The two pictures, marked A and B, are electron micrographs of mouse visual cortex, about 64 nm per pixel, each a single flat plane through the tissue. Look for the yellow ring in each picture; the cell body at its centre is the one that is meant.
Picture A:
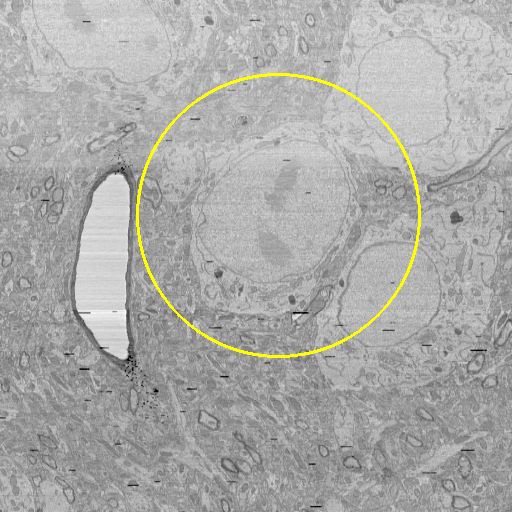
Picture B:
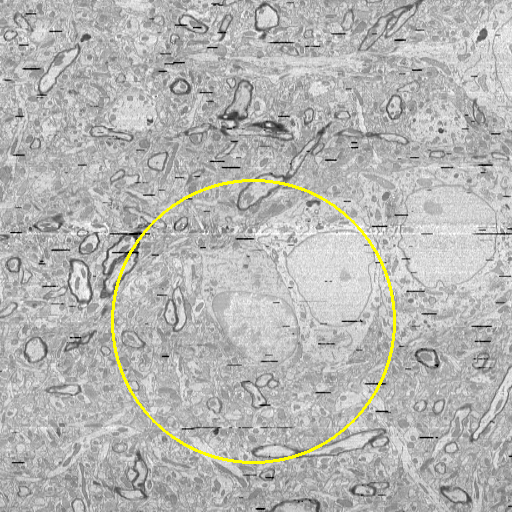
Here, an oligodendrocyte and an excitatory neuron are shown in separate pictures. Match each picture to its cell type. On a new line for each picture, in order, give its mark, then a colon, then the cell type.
A: excitatory neuron
B: oligodendrocyte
